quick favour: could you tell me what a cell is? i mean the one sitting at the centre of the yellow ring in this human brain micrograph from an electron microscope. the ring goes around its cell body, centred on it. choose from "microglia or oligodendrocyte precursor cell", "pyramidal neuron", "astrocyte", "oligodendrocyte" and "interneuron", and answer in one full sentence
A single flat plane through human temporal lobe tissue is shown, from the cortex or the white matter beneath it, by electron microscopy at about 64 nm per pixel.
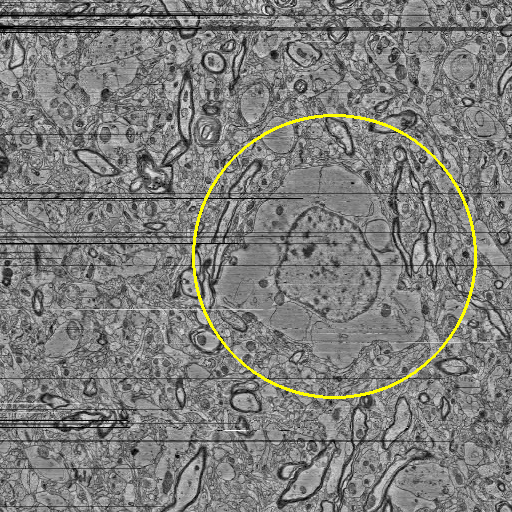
That's an astrocyte, the cell sitting at the centre of the yellow ring.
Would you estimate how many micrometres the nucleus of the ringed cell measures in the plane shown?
The nucleus appears roughly 8 by 7 micrometres in this plane.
